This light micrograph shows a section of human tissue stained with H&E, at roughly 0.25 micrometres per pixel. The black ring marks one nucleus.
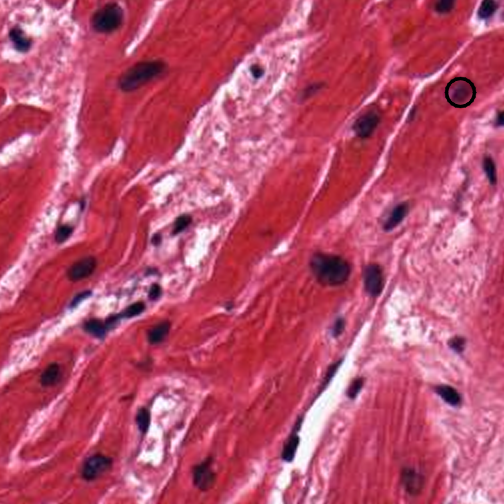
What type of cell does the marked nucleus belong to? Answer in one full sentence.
In this picture, the marked nucleus belongs to a cardiomyocyte.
